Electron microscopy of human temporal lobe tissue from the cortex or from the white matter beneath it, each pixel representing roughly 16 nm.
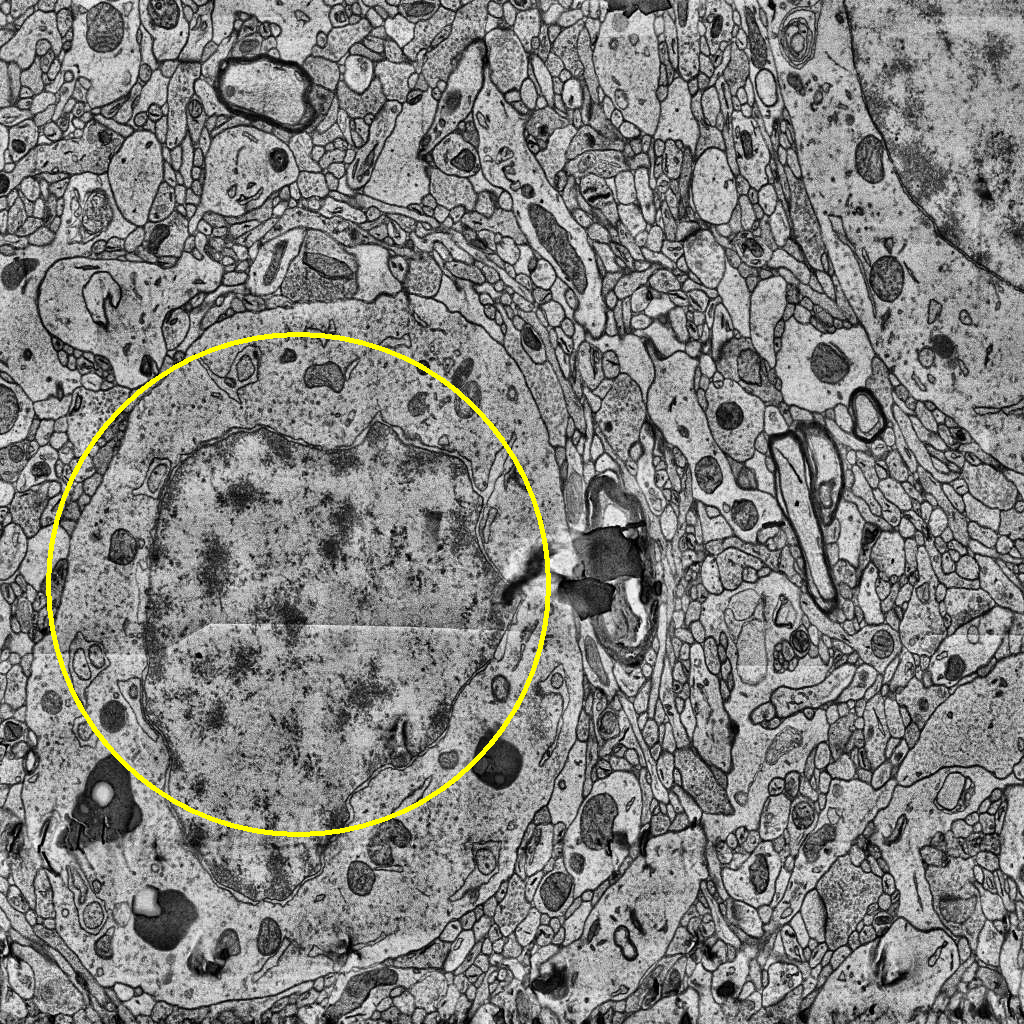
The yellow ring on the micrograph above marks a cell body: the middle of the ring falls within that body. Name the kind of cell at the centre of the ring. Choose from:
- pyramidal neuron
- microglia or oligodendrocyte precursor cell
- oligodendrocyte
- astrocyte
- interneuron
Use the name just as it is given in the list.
interneuron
